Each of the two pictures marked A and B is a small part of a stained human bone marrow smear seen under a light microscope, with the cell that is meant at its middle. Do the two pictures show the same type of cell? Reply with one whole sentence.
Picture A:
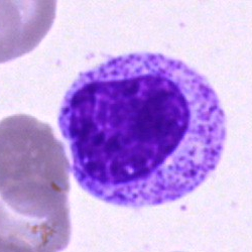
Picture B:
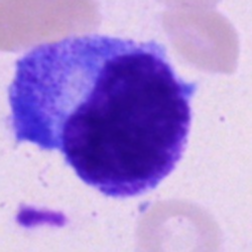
No, picture A shows a myelocyte and picture B shows a promyelocyte.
